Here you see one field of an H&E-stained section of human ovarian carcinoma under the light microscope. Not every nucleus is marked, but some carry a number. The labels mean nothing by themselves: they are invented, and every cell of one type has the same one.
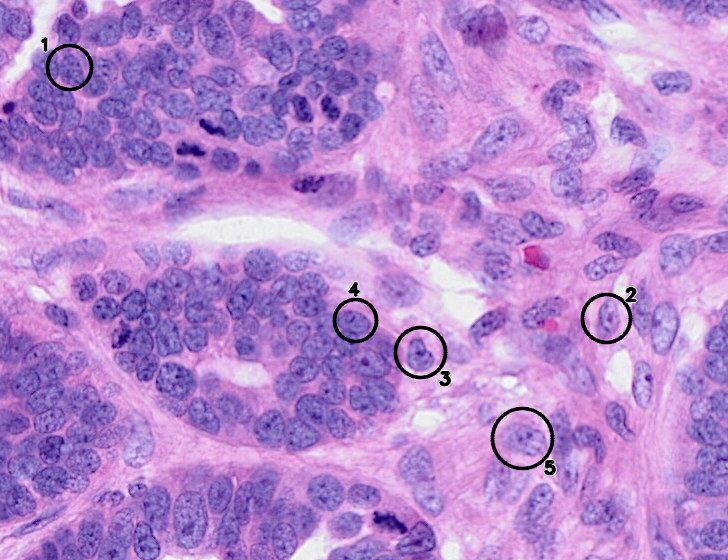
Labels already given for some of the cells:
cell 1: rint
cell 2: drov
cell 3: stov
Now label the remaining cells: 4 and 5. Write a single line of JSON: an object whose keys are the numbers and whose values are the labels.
{"4": "rint", "5": "drov"}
